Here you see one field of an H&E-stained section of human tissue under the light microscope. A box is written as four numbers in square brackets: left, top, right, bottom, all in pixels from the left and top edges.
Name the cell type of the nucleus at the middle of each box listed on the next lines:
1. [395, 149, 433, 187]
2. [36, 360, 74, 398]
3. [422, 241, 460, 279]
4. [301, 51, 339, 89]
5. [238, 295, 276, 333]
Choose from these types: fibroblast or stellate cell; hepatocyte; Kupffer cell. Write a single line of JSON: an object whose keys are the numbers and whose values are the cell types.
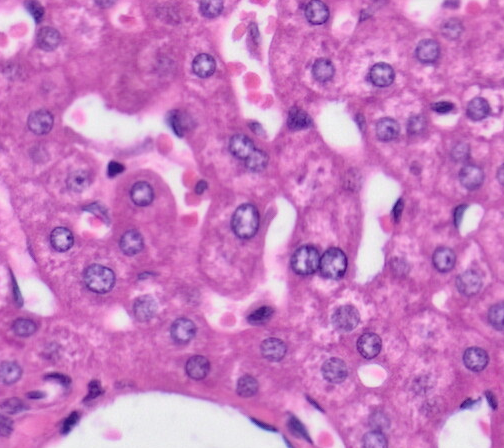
{"1": "hepatocyte", "2": "fibroblast or stellate cell", "3": "hepatocyte", "4": "hepatocyte", "5": "Kupffer cell"}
